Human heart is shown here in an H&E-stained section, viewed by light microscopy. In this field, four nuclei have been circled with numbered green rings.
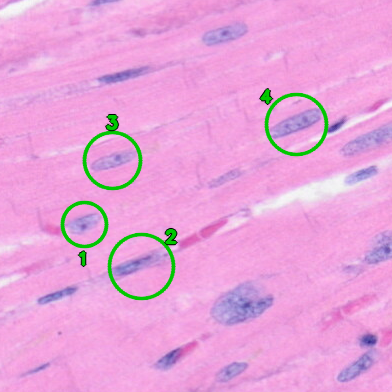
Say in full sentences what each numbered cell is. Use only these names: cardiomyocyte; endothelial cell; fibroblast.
Cell 1 is a cardiomyocyte, cell 2 is an endothelial cell, cell 3 is a cardiomyocyte and cell 4 is a cardiomyocyte.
